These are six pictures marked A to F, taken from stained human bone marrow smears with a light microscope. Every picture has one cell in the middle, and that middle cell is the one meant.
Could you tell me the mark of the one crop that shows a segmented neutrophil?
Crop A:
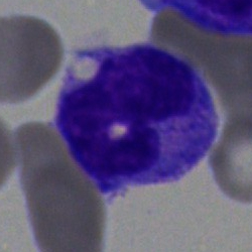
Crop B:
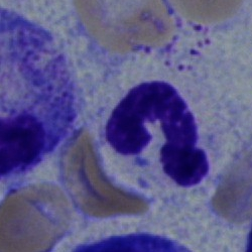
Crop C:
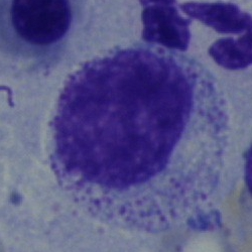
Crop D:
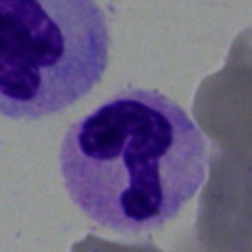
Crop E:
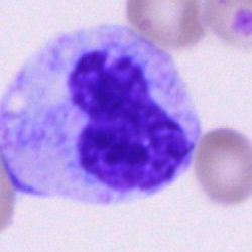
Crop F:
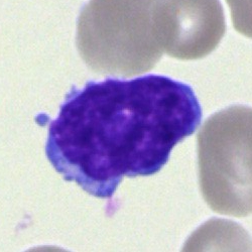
D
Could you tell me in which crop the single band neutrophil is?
B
